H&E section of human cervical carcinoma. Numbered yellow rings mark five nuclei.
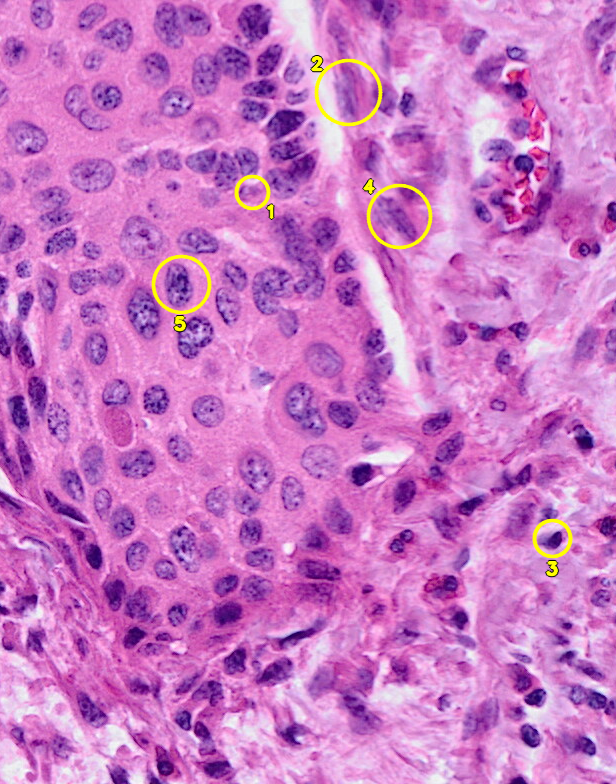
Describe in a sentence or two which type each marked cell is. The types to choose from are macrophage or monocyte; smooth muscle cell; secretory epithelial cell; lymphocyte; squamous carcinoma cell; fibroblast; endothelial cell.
Cells 1 and 5 are squamous carcinoma cells. Cells 2 and 4 are fibroblasts. Cell 3 is a lymphocyte.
